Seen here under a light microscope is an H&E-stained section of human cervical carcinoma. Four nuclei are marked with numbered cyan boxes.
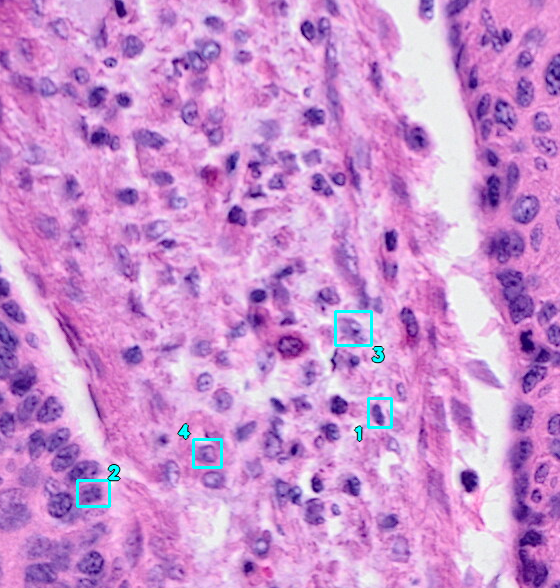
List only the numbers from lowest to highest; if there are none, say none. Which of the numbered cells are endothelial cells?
4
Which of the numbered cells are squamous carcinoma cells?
2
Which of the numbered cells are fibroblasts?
3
